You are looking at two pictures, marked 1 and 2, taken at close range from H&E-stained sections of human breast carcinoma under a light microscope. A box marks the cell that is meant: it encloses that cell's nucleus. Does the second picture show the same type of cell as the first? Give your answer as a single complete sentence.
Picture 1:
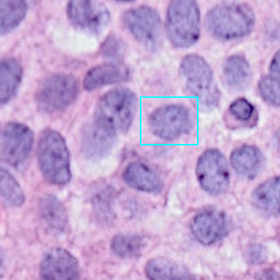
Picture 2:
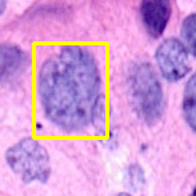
Yes; the cells in both pictures are carcinoma cells.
